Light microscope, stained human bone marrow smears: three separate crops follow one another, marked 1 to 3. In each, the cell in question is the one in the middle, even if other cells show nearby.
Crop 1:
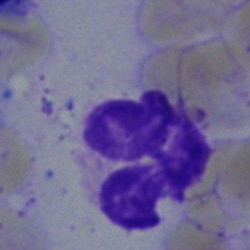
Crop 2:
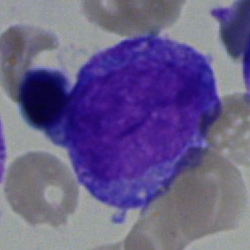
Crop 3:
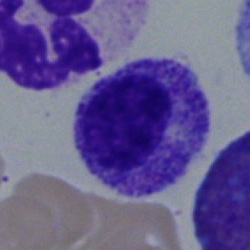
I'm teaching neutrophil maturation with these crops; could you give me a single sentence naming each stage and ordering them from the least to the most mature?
The progression from least to most mature runs crop 2 (a promyelocyte), crop 3 (a myelocyte) and crop 1 (a segmented neutrophil).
